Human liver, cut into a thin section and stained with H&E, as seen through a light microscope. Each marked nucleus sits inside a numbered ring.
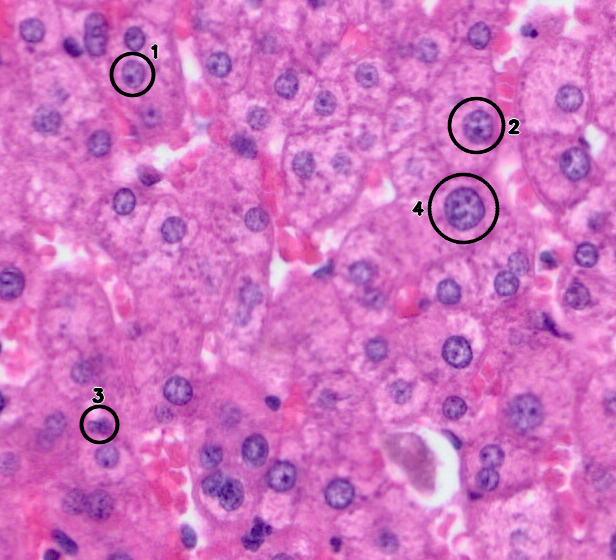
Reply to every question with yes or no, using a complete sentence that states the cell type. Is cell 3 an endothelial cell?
Yes, the number 3 belongs to an endothelial cell.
